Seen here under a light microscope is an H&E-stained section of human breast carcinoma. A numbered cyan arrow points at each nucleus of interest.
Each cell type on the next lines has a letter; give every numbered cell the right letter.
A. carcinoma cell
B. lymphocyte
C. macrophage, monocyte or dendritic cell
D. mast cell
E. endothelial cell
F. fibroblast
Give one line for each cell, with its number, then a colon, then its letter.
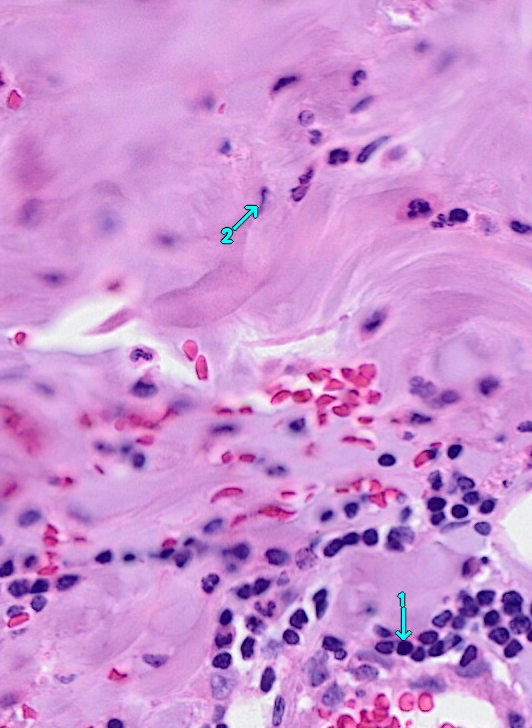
1: B
2: F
